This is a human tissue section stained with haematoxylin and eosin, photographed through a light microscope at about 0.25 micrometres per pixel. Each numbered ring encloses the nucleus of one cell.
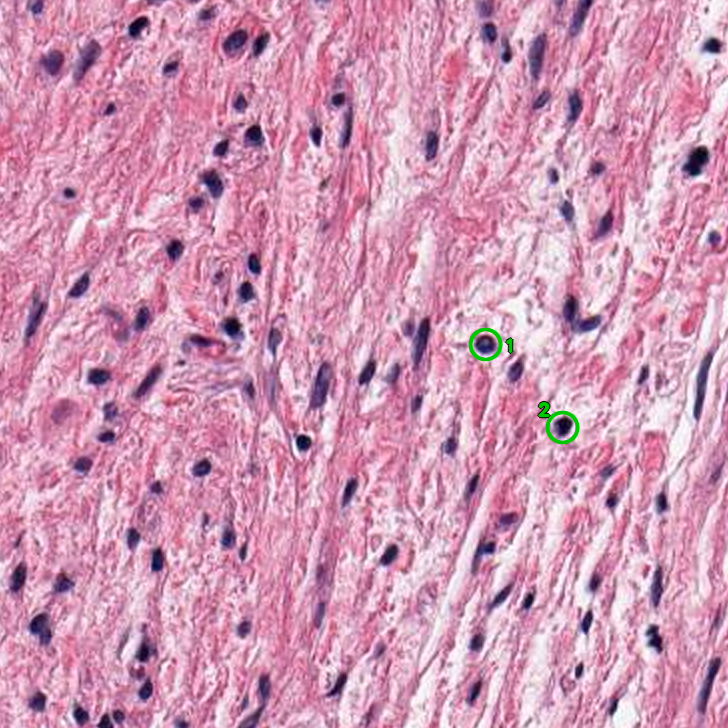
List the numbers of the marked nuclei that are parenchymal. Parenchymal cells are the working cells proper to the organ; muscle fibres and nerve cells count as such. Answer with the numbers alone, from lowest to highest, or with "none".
none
